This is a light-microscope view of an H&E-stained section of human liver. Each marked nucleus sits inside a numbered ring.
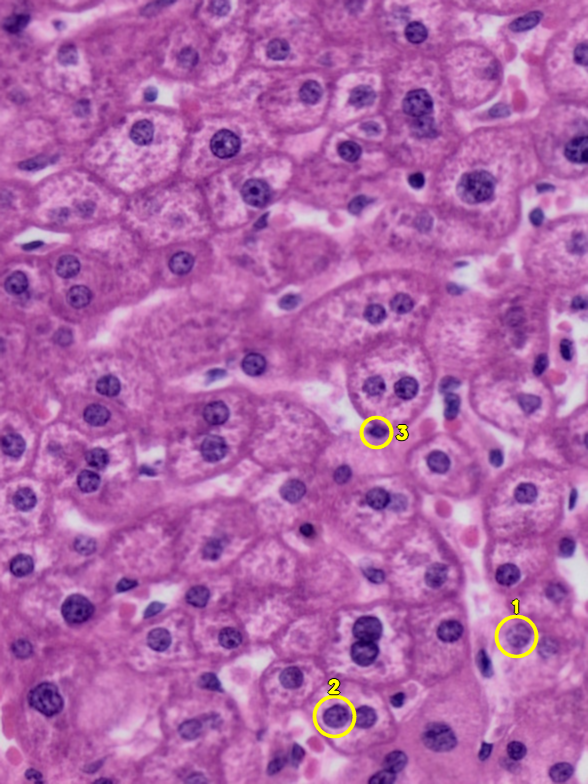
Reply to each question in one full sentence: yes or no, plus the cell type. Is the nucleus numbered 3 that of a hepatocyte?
No, the correct answer for cell 3 is a fibroblast or stellate cell, not a hepatocyte.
